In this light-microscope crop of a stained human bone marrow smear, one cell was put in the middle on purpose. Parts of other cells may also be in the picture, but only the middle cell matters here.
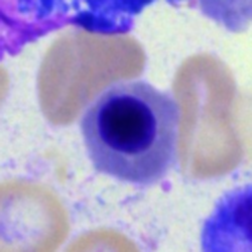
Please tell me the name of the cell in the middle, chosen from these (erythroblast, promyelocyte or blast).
erythroblast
